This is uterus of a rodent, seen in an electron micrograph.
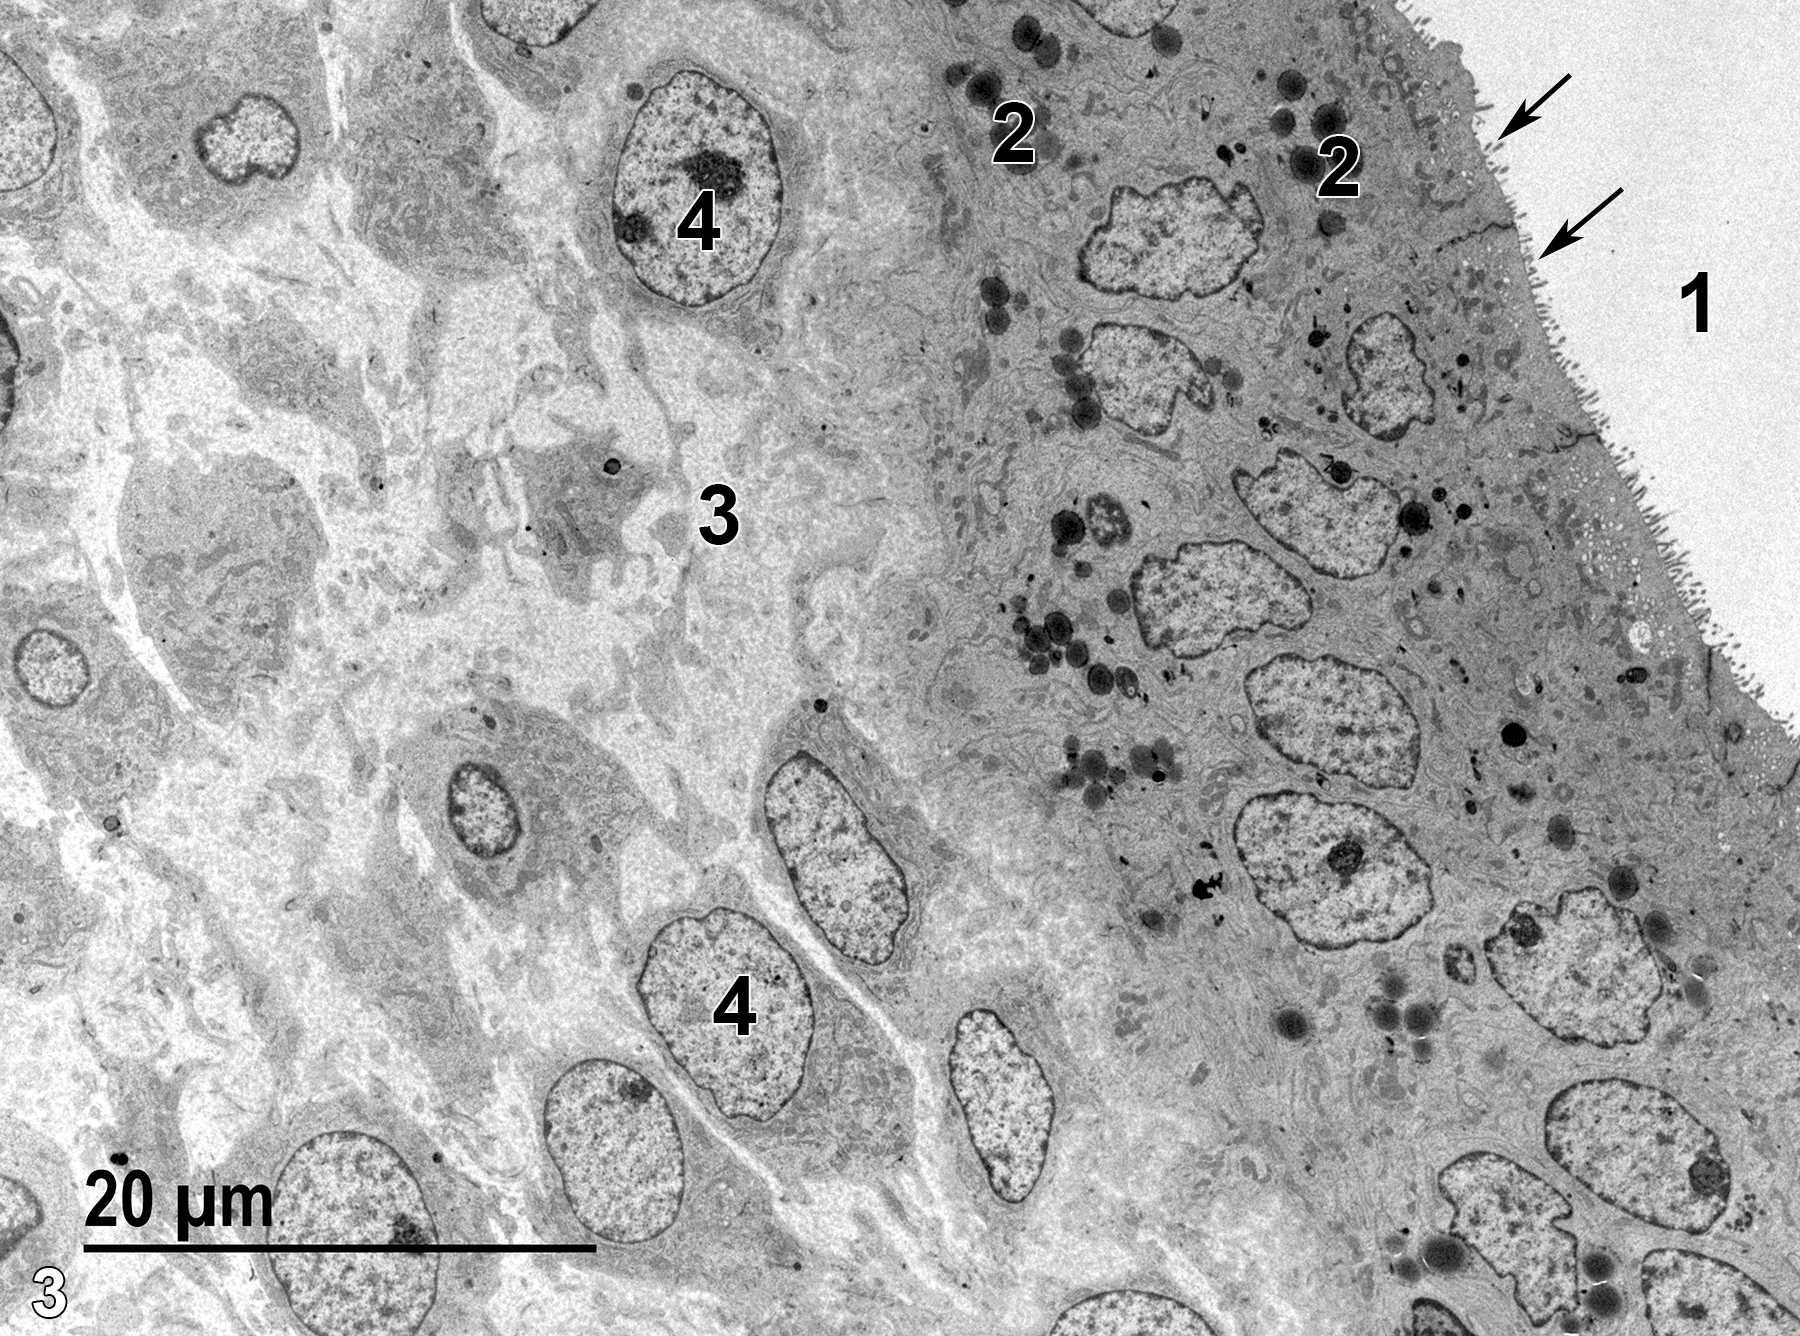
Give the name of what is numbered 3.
Connective tissue.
